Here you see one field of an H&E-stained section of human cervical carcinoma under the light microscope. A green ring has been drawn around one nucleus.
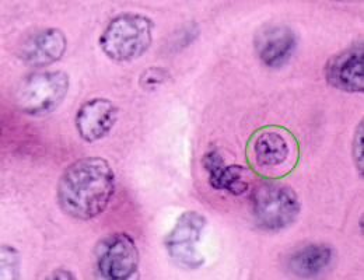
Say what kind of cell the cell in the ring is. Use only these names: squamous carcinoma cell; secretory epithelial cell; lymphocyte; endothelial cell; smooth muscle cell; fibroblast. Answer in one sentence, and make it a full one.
Right, so the cell in the ring is a squamous carcinoma cell, to answer that.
